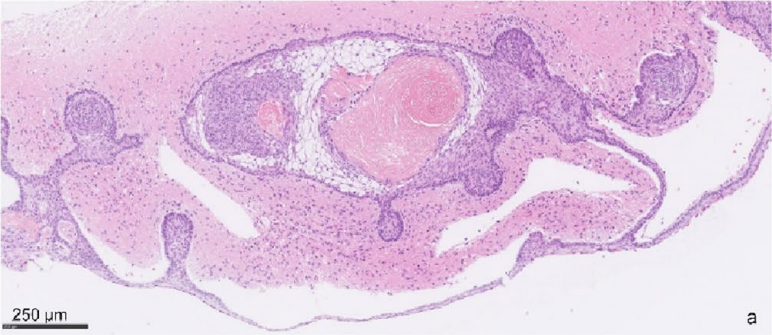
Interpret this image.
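Nests and cords of purple epithelium show a dense outer rim of cells lined up side by side, palisading at the periphery. Inside the main nest lies loose, pale, web-like stellate reticulum with sparse cells, and next to it a large pink, layered, acellular nodule of ghost cells with a smaller pink nodule nearby. Around the nests is pink fibrillary brain tissue, into which small round and finger-like epithelial buds project, showing invasion of the parenchyma.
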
